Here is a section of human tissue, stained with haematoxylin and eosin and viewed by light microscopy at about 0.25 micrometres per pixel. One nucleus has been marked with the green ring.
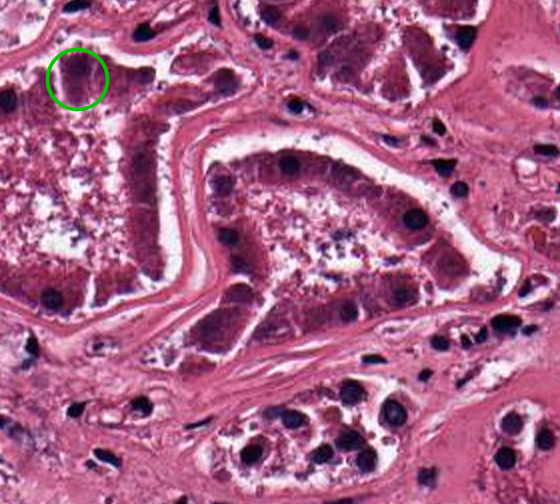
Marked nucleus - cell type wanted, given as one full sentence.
Singled out by the mark is the nucleus of a proximal tubule cell.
